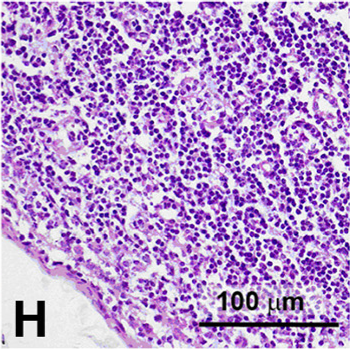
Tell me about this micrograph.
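This is lymph node parenchyma made up of lymphocytes, and it is free of tumor cells. The cells are small and round, with dense, dark purple nuclei and only a thin rim of cytoplasm, and they lie crowded evenly across the field. Scattered among them are a few slightly larger, paler cells and small clear spaces of the node's meshwork. Along the lower left edge a thin band of pink fibrous tissue forms the capsule of the node. No large pale cells with irregular nuclei disturb the uniform pattern.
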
